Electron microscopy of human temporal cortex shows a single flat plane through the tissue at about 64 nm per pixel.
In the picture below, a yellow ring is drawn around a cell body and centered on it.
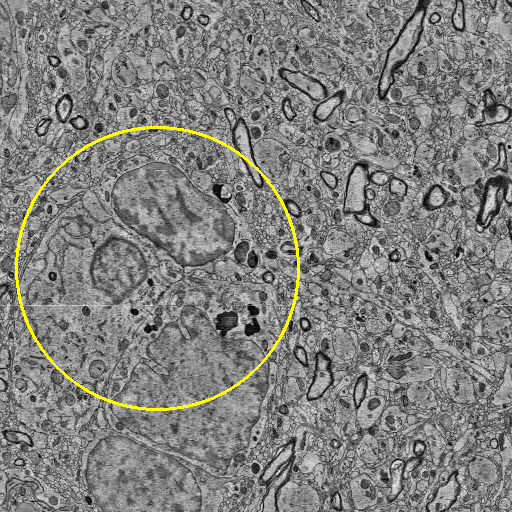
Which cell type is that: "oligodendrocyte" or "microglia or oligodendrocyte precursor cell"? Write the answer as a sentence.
The cell centered in the ring is a microglial cell or oligodendrocyte precursor cell.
